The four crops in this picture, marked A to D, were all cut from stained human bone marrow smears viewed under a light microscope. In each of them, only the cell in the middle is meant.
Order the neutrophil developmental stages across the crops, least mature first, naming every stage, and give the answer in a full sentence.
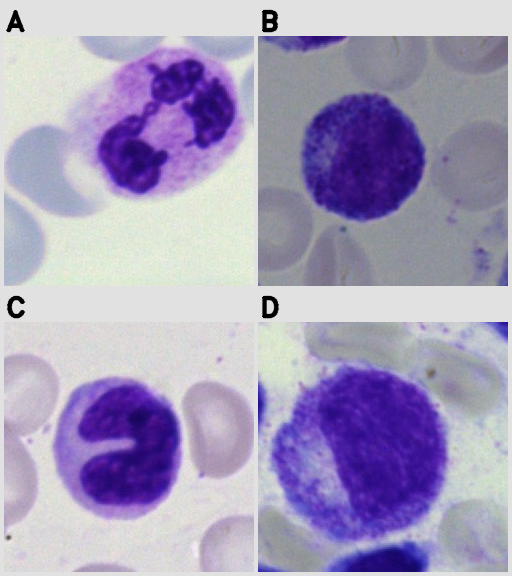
The maturity sequence, least mature to most mature, is crop B (a promyelocyte), crop D (a myelocyte), crop C (a band neutrophil) and crop A (a segmented neutrophil).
